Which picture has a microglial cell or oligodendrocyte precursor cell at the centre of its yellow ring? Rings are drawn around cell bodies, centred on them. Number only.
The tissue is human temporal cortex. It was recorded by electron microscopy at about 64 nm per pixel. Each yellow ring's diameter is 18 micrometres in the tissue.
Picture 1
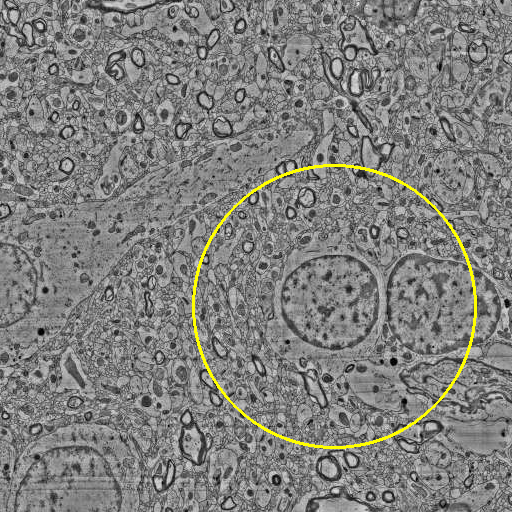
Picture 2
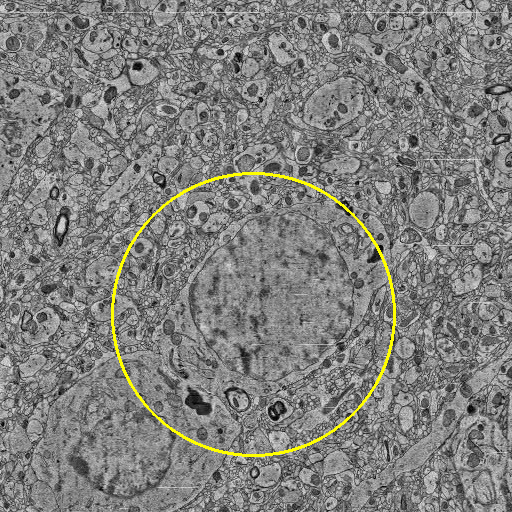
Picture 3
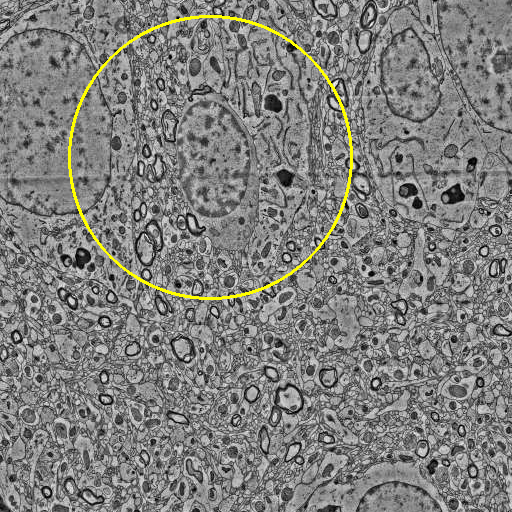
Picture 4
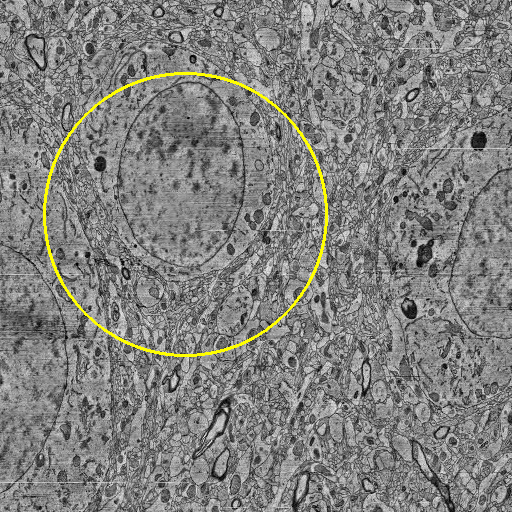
1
